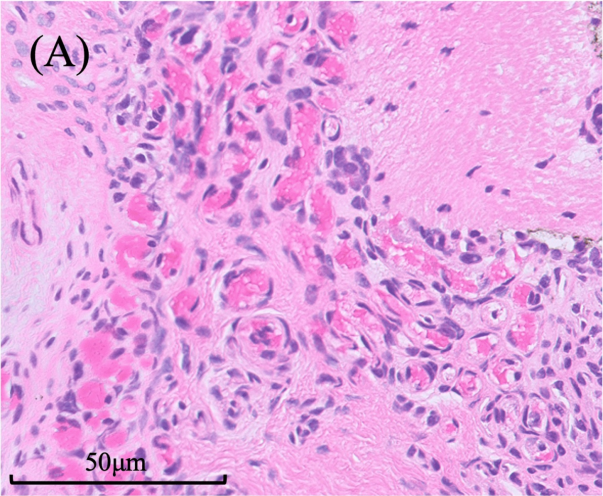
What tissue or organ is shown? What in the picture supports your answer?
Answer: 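Granulation tissue. Many small capillary-sized vessels packed with red-pink erythrocytes. A cellular band of vessels and spindle and round cells runs between paler pink fibrous matrix.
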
